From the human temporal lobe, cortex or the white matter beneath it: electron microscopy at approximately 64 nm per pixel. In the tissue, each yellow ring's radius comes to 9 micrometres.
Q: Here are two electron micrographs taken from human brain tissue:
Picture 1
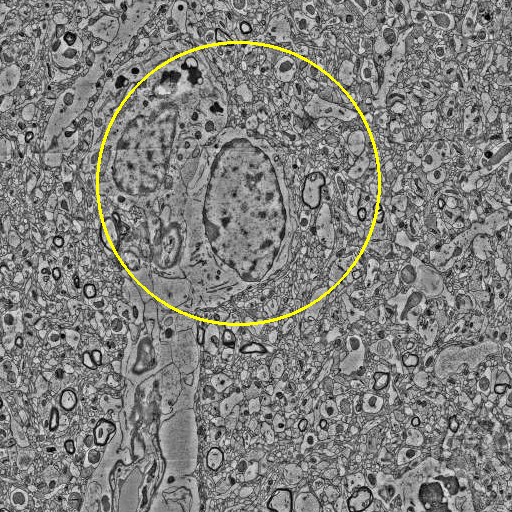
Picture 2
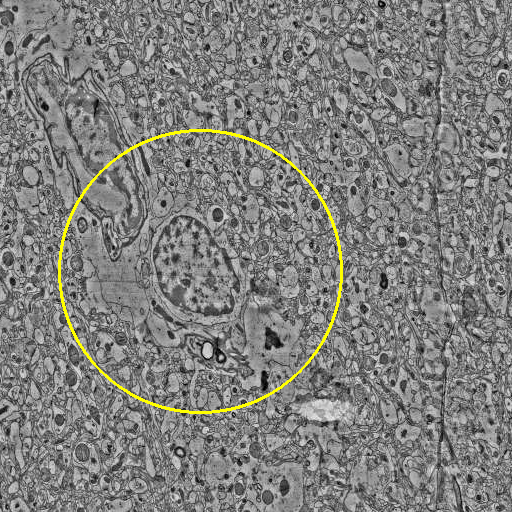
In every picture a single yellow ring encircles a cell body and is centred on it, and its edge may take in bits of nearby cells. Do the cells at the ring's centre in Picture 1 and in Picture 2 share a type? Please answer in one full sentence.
Yes, the cells at the ring's centre in Picture 1 and Picture 2 share a type.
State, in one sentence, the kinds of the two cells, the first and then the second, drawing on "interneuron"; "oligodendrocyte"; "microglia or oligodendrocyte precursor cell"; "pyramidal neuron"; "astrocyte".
Each cell, in the first picture and the second, is a microglial cell or oligodendrocyte precursor cell.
